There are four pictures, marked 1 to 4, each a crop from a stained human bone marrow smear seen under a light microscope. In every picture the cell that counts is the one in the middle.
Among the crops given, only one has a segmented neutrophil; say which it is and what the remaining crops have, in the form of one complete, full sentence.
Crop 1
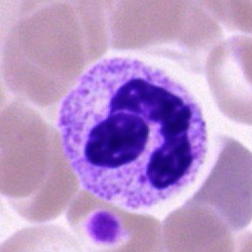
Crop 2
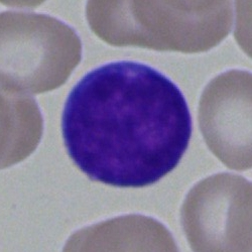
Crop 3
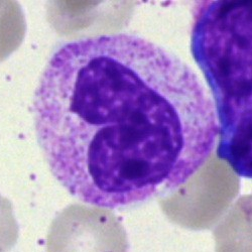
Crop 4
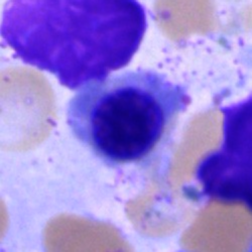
Depicted in crop 1 is a segmented neutrophil, while crop 2 is a blast, crop 3 is a band neutrophil and crop 4 is a normoblast.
